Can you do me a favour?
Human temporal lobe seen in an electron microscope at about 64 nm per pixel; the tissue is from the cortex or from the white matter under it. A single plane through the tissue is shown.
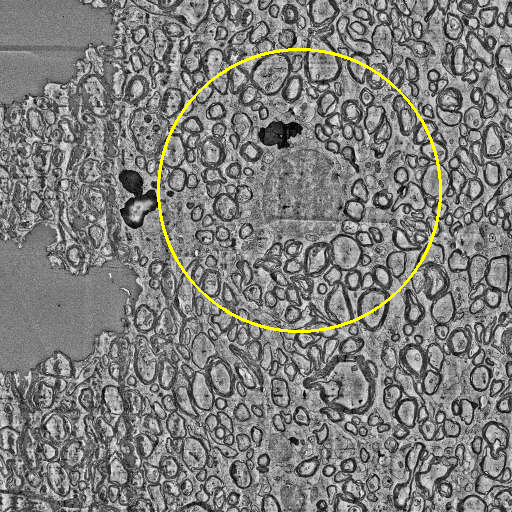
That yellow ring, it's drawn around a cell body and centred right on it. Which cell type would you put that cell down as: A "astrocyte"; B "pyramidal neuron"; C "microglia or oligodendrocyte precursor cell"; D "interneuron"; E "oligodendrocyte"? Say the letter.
E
